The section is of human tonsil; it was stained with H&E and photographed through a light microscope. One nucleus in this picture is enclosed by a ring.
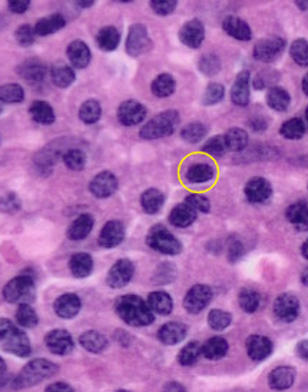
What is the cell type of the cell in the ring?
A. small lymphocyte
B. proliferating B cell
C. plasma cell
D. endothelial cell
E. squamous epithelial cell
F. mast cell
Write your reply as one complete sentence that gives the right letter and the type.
Option C wins here: the cell in the ring is a plasma cell.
